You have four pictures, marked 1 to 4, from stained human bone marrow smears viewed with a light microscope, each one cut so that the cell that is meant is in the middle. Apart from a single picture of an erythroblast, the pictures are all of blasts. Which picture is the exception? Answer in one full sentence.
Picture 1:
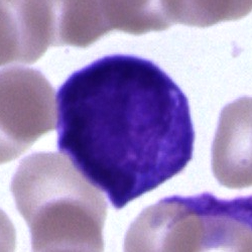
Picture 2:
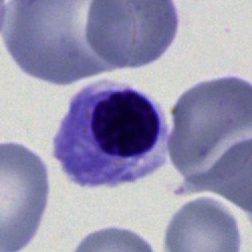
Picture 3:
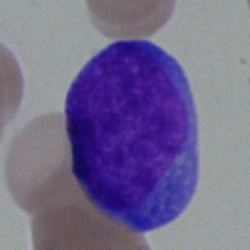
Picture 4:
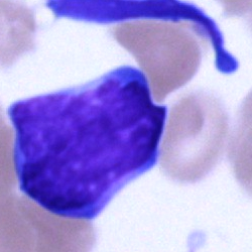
Picture 2 is the one that shows the erythroblast.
